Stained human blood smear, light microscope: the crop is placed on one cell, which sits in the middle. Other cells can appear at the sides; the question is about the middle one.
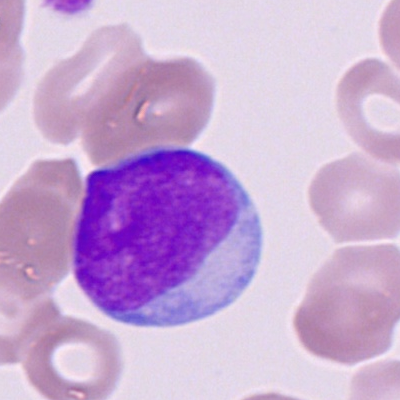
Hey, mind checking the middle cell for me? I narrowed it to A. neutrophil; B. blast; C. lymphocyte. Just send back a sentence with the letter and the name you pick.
Option B is the correct selection, for the cell at the centre is a blast.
